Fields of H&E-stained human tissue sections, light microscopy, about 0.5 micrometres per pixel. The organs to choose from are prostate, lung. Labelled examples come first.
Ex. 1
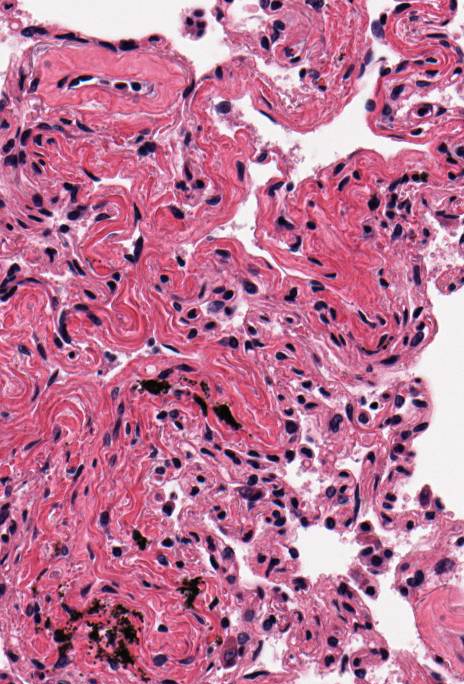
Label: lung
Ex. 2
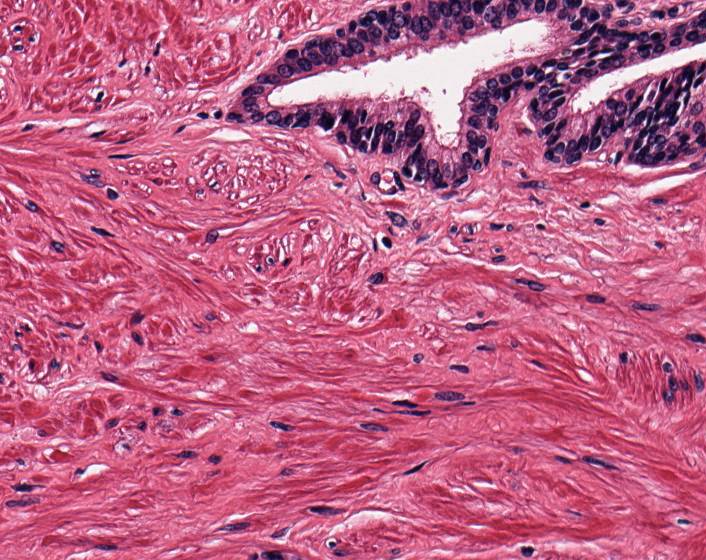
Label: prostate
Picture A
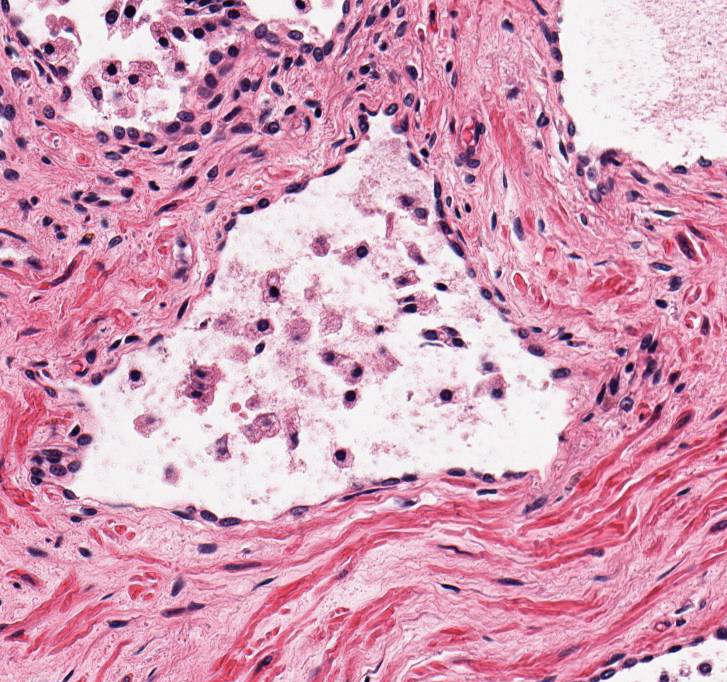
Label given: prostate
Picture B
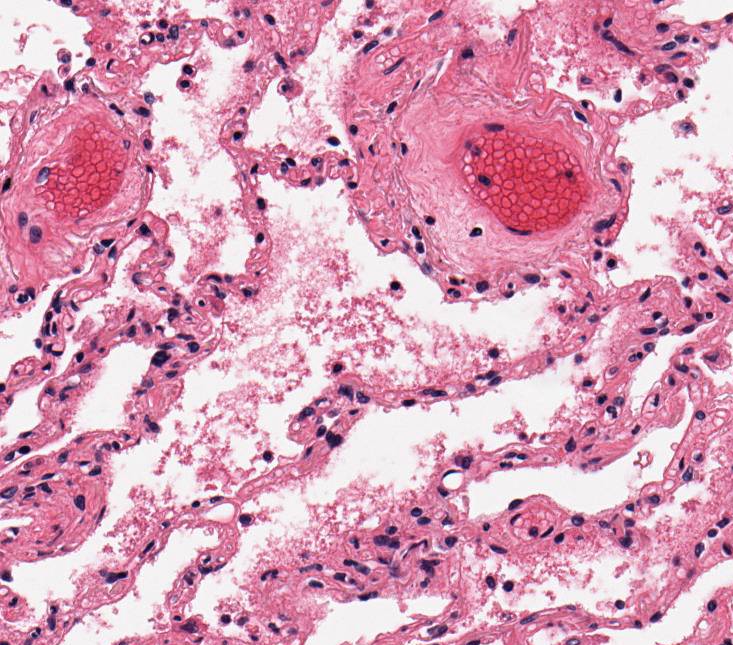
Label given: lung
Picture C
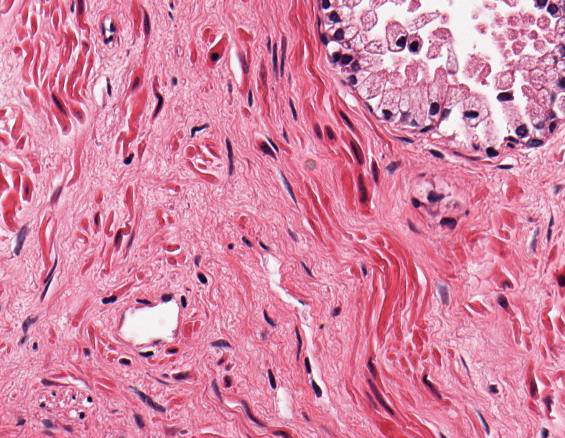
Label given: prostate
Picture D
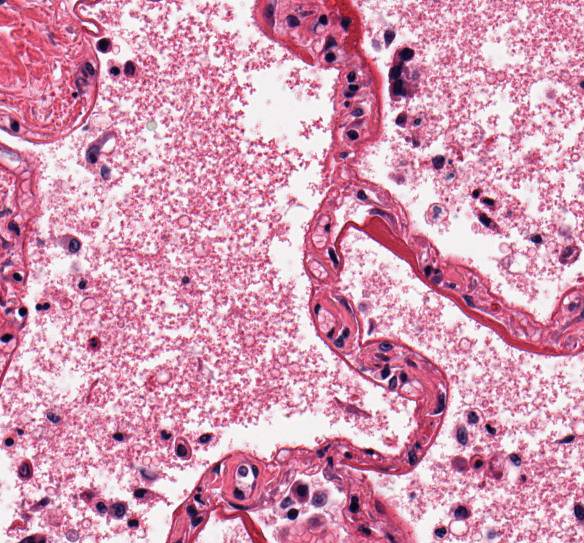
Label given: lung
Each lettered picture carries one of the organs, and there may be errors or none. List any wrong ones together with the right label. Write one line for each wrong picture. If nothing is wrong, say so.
None of the labels needs changing.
